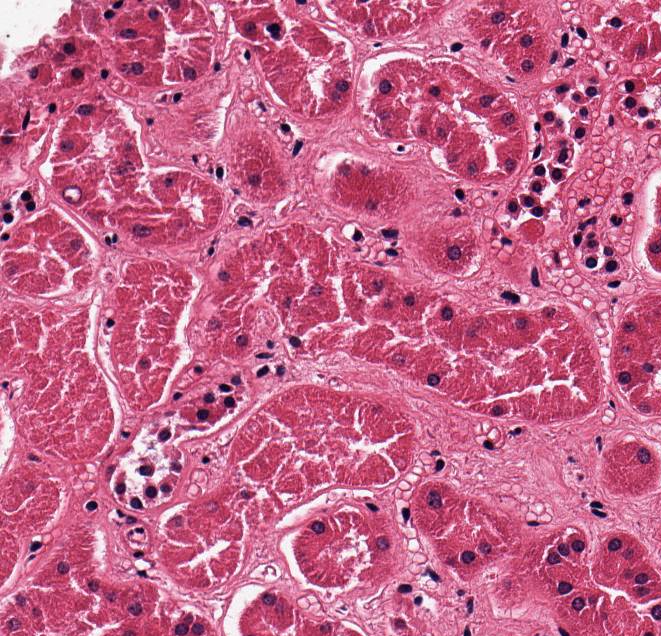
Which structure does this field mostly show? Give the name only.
cortical labyrinth of the kidney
